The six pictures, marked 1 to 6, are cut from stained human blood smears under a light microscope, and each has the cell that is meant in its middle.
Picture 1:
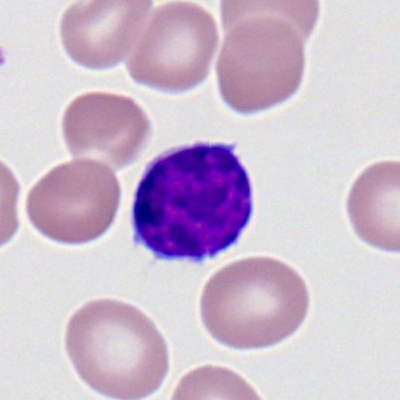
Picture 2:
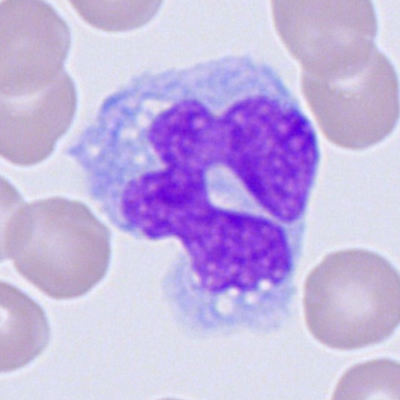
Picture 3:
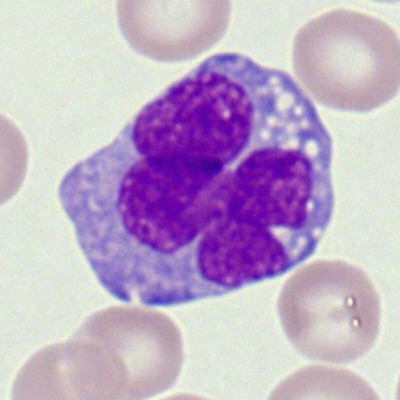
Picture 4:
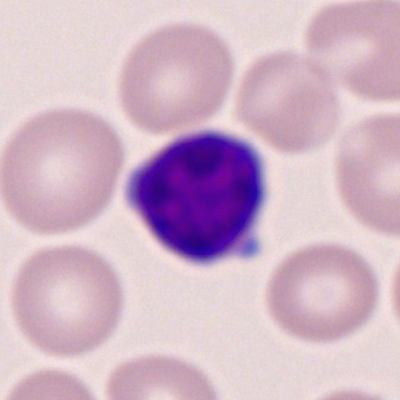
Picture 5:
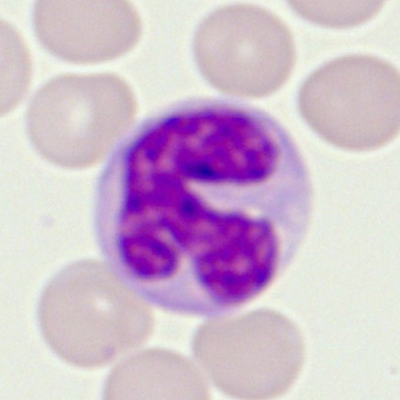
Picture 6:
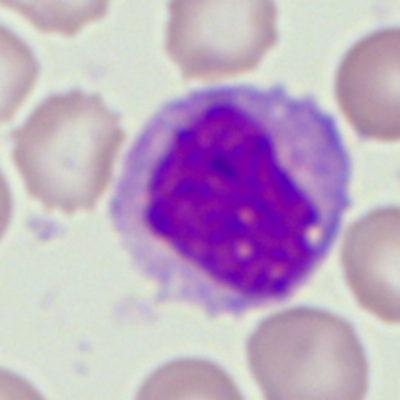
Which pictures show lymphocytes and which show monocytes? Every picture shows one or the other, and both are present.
1: lymphocyte
2: monocyte
3: monocyte
4: lymphocyte
5: monocyte
6: monocyte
